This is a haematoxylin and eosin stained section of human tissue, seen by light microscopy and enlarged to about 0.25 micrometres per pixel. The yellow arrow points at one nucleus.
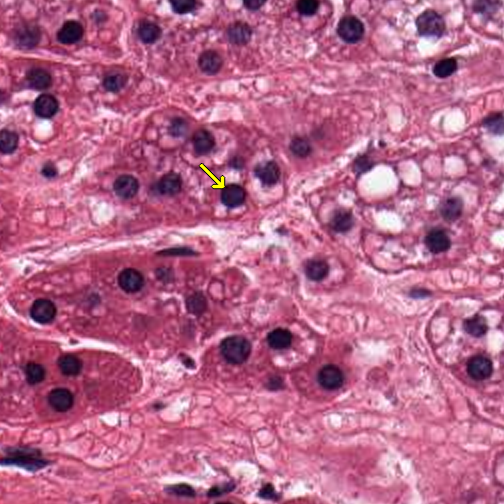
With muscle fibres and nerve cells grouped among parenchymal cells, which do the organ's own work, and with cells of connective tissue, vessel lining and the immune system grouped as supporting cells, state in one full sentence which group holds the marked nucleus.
The marked nucleus is carried by a parenchymal cell, namely an adrenal cortical cell.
